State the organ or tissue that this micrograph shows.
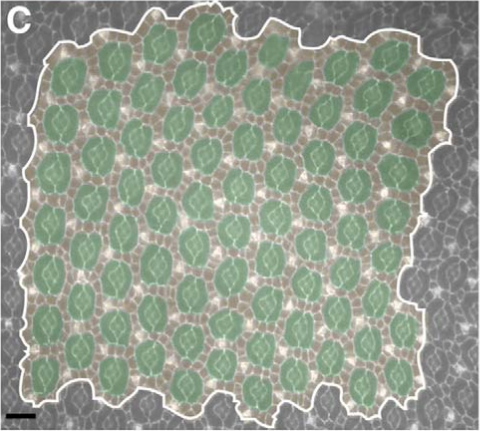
Pupal eye.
